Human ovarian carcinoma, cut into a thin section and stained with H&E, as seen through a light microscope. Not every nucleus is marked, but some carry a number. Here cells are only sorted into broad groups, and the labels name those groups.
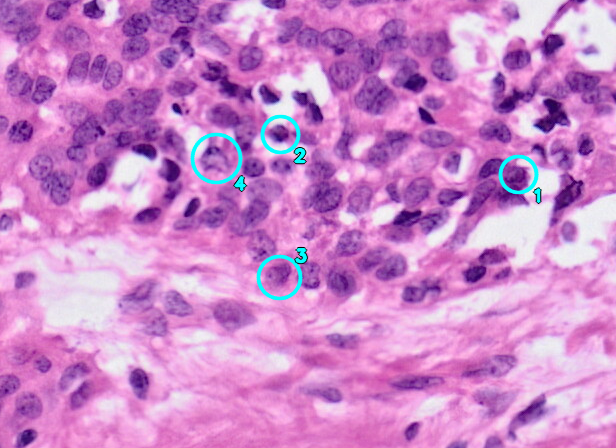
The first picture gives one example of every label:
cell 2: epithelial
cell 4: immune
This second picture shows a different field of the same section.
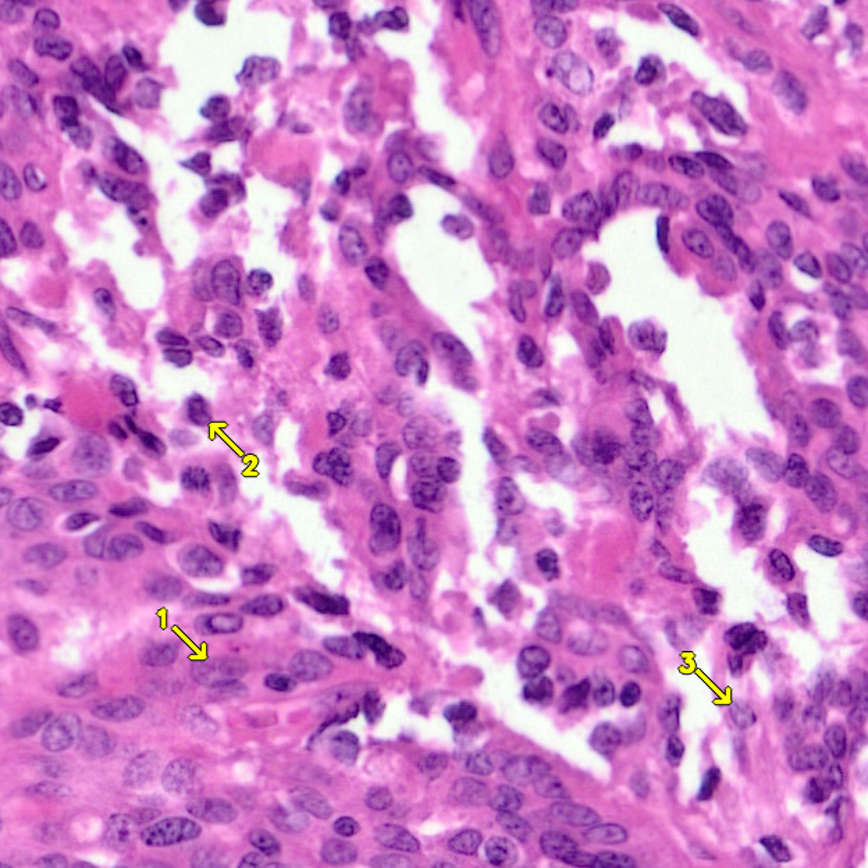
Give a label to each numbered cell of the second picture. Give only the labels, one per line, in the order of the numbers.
epithelial
epithelial
immune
